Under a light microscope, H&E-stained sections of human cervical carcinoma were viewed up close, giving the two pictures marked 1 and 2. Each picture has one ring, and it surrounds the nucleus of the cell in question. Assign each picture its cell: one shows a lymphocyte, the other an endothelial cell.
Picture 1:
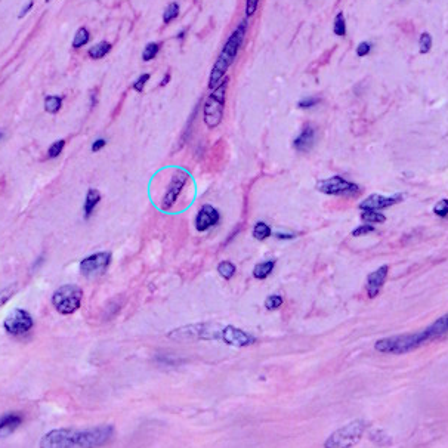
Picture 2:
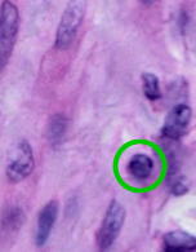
1: endothelial cell
2: lymphocyte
